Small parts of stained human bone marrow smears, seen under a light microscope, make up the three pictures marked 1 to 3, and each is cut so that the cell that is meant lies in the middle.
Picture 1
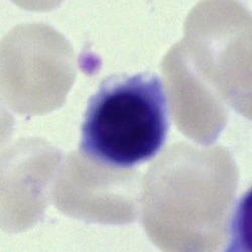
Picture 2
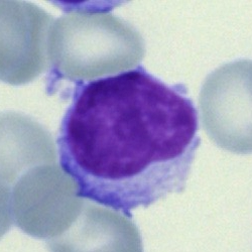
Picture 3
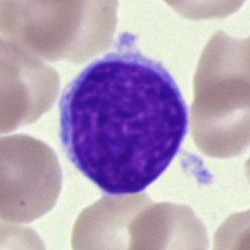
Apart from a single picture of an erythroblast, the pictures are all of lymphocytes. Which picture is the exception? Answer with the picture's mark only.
1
